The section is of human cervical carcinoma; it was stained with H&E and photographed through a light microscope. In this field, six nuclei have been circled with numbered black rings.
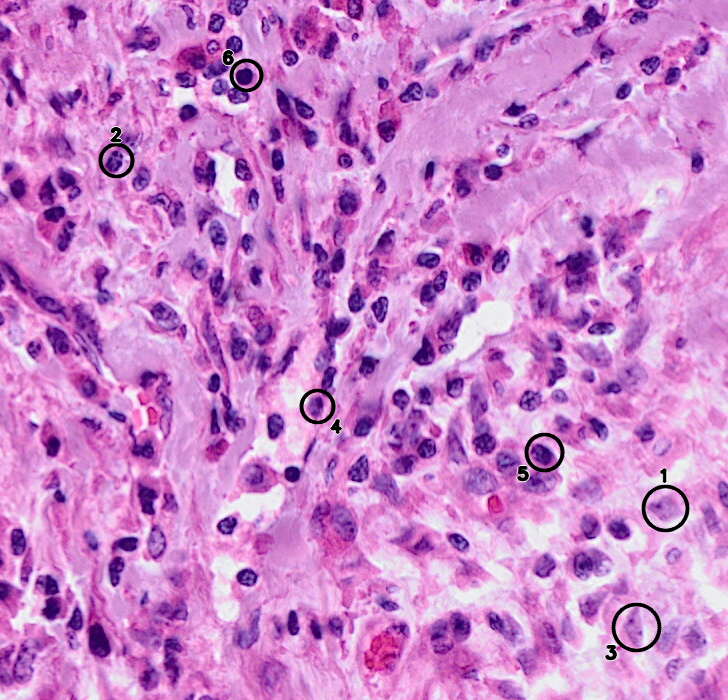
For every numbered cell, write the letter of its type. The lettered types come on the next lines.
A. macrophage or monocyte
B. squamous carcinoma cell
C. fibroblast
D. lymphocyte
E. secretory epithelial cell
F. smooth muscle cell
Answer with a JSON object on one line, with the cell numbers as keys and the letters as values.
{"1": "C", "2": "D", "3": "C", "4": "D", "5": "D", "6": "D"}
